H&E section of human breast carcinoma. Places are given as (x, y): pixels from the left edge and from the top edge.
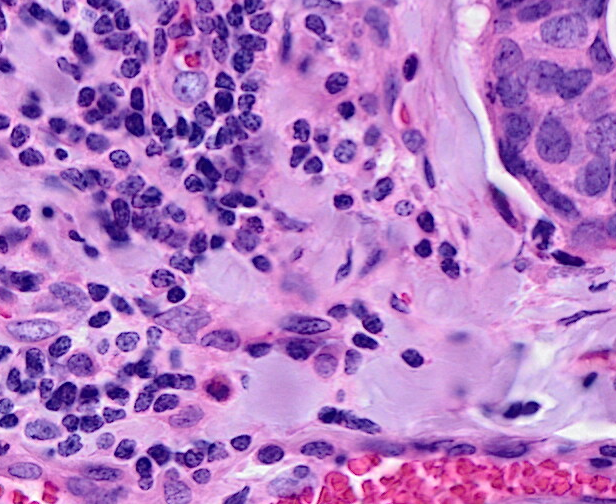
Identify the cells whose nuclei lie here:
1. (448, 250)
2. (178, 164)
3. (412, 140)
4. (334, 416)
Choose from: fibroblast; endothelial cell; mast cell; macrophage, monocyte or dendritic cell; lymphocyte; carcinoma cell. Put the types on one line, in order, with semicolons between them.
lymphocyte; lymphocyte; endothelial cell; lymphocyte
